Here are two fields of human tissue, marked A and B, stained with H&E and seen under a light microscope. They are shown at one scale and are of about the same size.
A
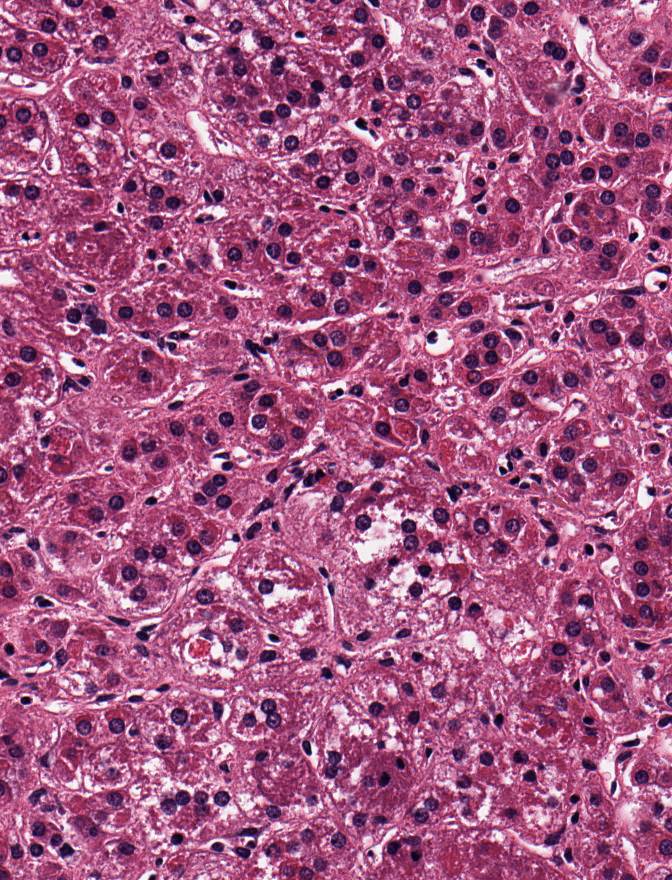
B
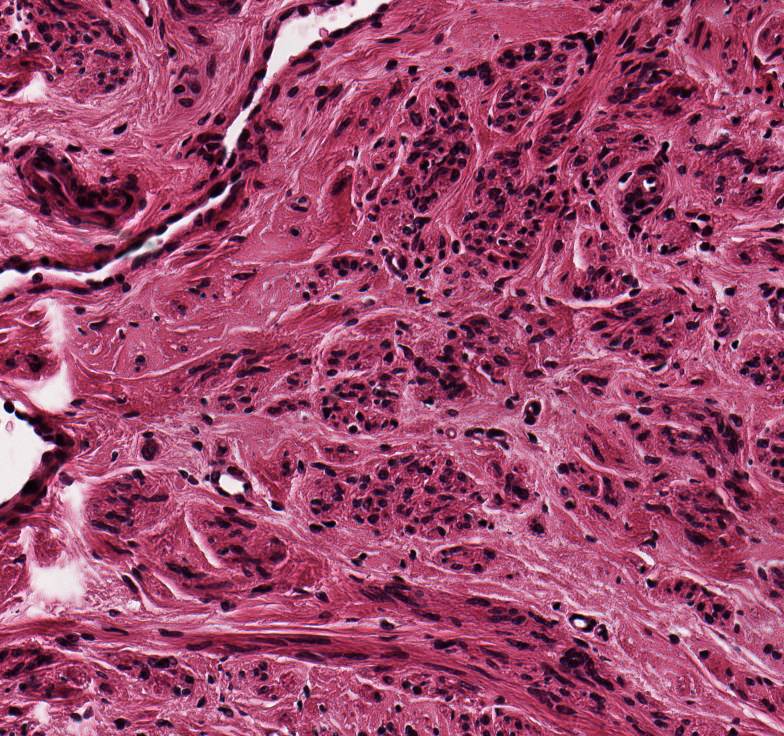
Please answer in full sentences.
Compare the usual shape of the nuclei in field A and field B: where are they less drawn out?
On the whole the nuclei of field A are rounder than those of field B.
